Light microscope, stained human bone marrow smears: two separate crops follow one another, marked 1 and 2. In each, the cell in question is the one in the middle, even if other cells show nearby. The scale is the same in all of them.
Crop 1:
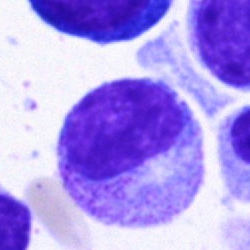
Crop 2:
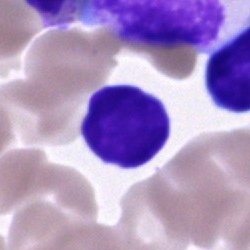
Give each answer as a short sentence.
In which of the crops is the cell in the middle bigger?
Crop 1 holds the larger cell; it covers about 3 times the area of the cell in crop 2.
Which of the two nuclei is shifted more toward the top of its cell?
Seen within its cell, the nucleus in crop 1 lies further toward the top.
